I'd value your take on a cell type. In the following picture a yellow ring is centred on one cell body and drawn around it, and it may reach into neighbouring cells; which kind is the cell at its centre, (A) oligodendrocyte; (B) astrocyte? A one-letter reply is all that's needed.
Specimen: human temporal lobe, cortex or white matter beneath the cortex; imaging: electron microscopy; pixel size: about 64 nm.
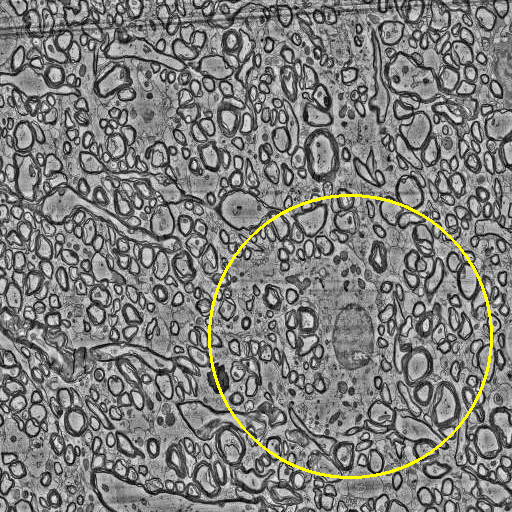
B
